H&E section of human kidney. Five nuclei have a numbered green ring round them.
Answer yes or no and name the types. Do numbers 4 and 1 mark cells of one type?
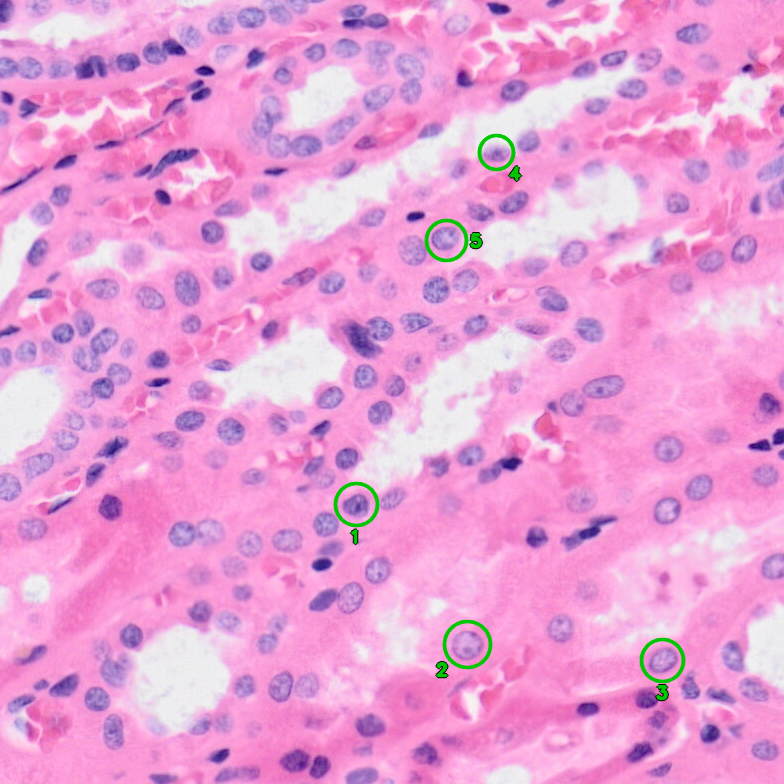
Yes, both are loop of Henle or distal tubule cells.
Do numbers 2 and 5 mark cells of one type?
No, cell 2 is a proximal tubule cell and cell 5 is a loop of Henle or distal tubule cell.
